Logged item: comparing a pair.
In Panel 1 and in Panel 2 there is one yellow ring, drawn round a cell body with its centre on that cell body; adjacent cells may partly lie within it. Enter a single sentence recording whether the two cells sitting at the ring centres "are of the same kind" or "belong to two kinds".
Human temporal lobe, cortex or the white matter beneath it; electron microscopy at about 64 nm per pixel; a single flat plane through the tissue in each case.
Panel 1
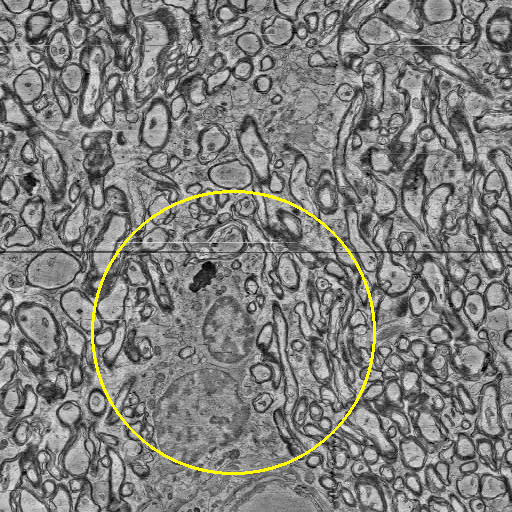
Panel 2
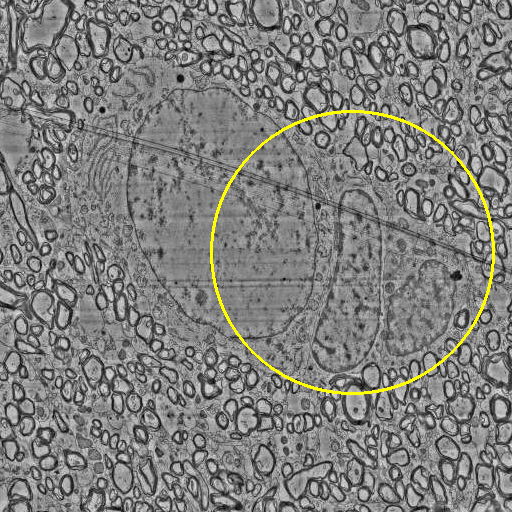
Logged: the cells centred in the rings of Panel 1 and Panel 2 belong to two kinds.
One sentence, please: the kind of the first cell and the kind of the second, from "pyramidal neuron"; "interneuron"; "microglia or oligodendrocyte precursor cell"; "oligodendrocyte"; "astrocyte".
The ring in the first picture surrounds an oligodendrocyte, and the ring in the second surrounds a microglial cell or oligodendrocyte precursor cell.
